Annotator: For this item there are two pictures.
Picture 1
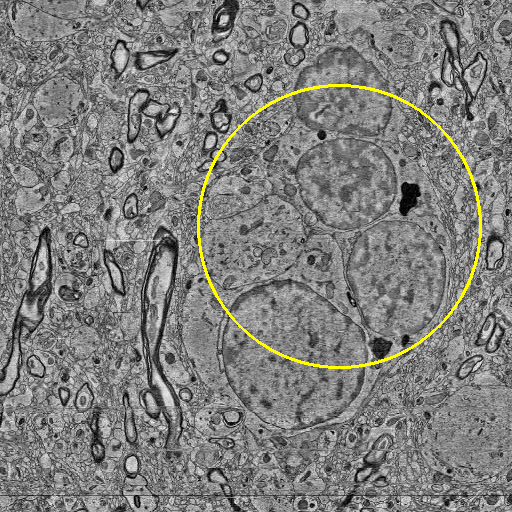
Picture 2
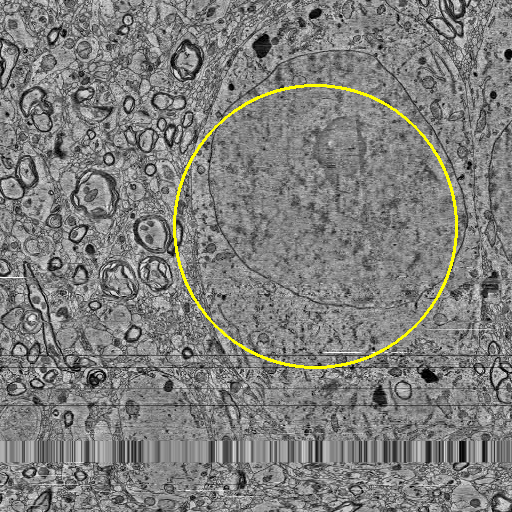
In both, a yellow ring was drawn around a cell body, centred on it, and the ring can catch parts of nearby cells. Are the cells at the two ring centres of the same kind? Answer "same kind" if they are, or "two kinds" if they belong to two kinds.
two kinds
